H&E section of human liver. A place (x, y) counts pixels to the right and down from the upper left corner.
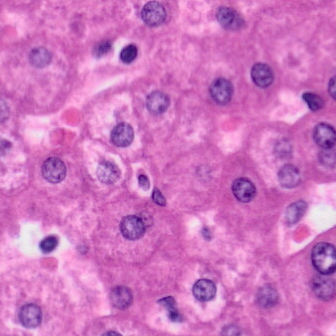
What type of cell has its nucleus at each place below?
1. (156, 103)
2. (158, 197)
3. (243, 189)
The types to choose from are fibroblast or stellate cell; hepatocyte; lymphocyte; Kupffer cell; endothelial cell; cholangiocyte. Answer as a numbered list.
1. hepatocyte
2. fibroblast or stellate cell
3. hepatocyte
